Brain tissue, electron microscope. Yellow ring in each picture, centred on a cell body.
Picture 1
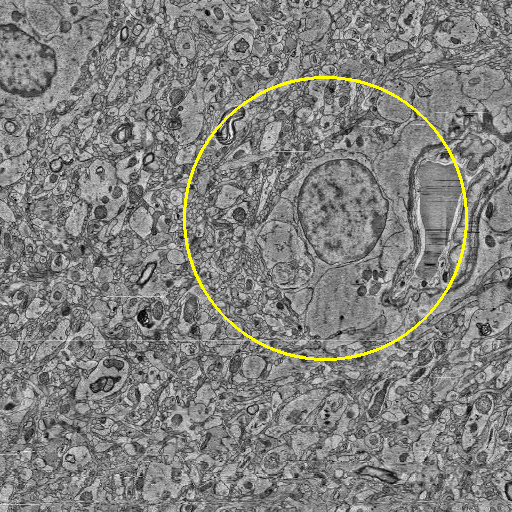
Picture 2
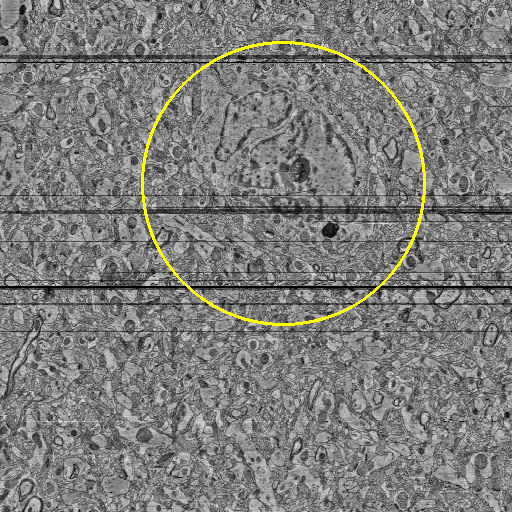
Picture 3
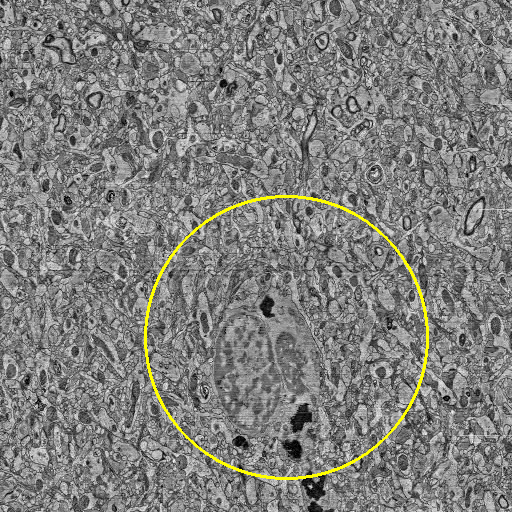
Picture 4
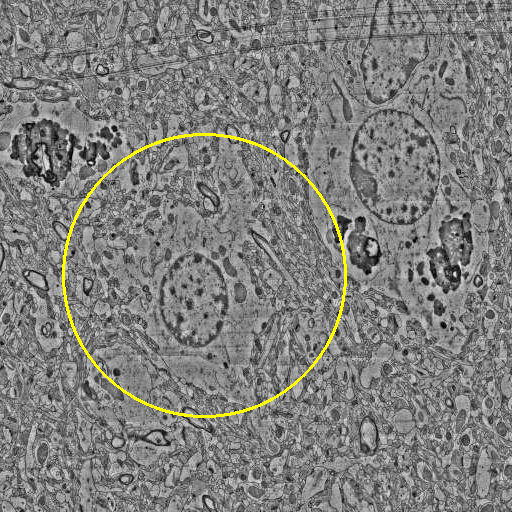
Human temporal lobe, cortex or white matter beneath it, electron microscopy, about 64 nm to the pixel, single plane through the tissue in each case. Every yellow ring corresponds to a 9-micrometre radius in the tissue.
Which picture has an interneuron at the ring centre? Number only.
2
